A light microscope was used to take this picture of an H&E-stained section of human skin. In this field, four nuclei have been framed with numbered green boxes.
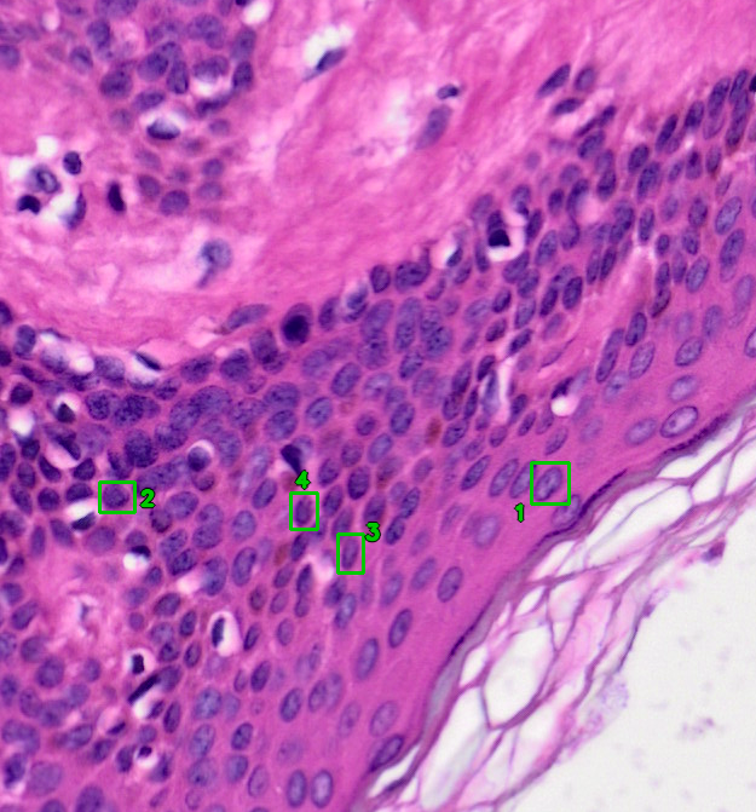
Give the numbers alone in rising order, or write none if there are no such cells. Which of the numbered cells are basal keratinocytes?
2, 3, 4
